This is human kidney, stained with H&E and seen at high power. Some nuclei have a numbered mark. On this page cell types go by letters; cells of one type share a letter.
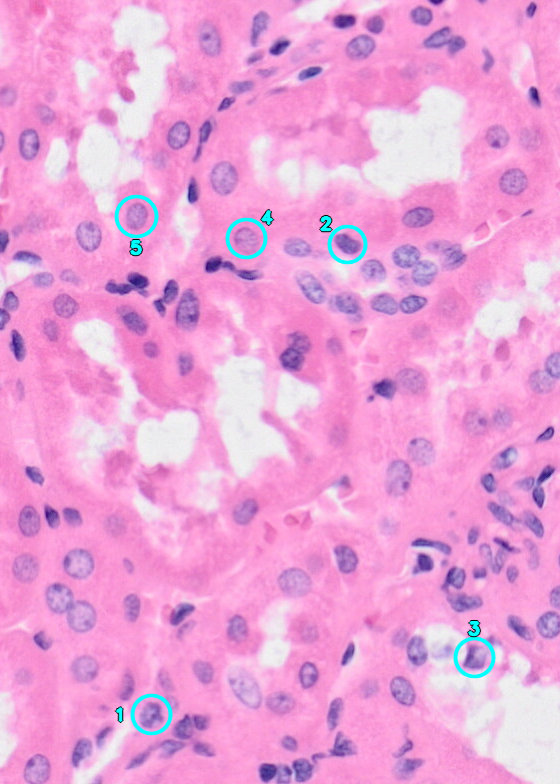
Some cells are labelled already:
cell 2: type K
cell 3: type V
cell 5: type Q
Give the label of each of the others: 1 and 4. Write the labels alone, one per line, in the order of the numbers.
type K
type Q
